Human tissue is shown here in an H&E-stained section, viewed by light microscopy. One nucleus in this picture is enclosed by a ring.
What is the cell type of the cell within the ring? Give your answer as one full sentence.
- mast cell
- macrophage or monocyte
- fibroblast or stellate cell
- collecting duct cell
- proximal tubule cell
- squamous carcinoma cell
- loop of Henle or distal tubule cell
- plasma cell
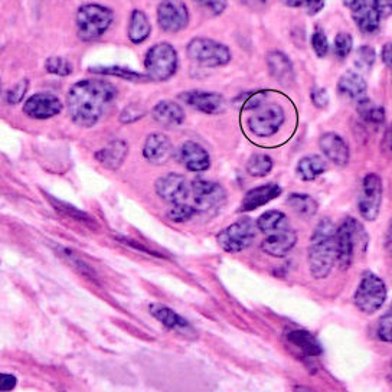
For cell typing purposes, the cell within the ring is a squamous carcinoma cell.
